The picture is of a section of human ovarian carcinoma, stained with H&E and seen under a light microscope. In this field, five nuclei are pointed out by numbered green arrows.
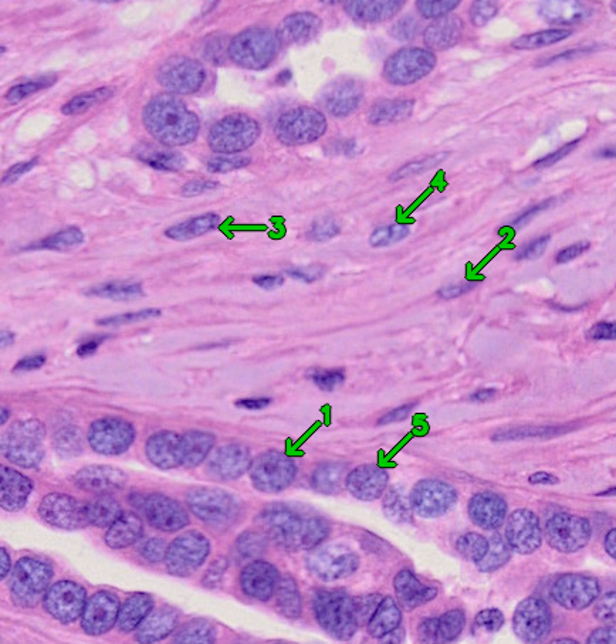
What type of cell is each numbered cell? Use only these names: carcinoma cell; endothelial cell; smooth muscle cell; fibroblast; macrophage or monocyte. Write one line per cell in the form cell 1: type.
cell 1: carcinoma cell
cell 2: fibroblast
cell 3: fibroblast
cell 4: fibroblast
cell 5: carcinoma cell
